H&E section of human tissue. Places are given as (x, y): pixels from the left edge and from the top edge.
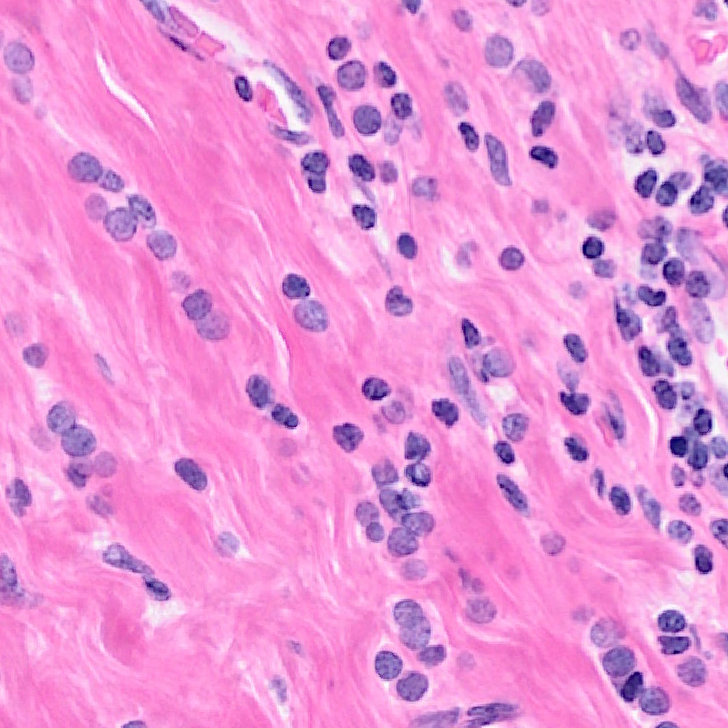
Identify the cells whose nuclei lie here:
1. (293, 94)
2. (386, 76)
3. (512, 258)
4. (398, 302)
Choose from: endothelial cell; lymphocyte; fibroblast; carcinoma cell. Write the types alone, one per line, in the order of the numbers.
endothelial cell
lymphocyte
lymphocyte
lymphocyte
